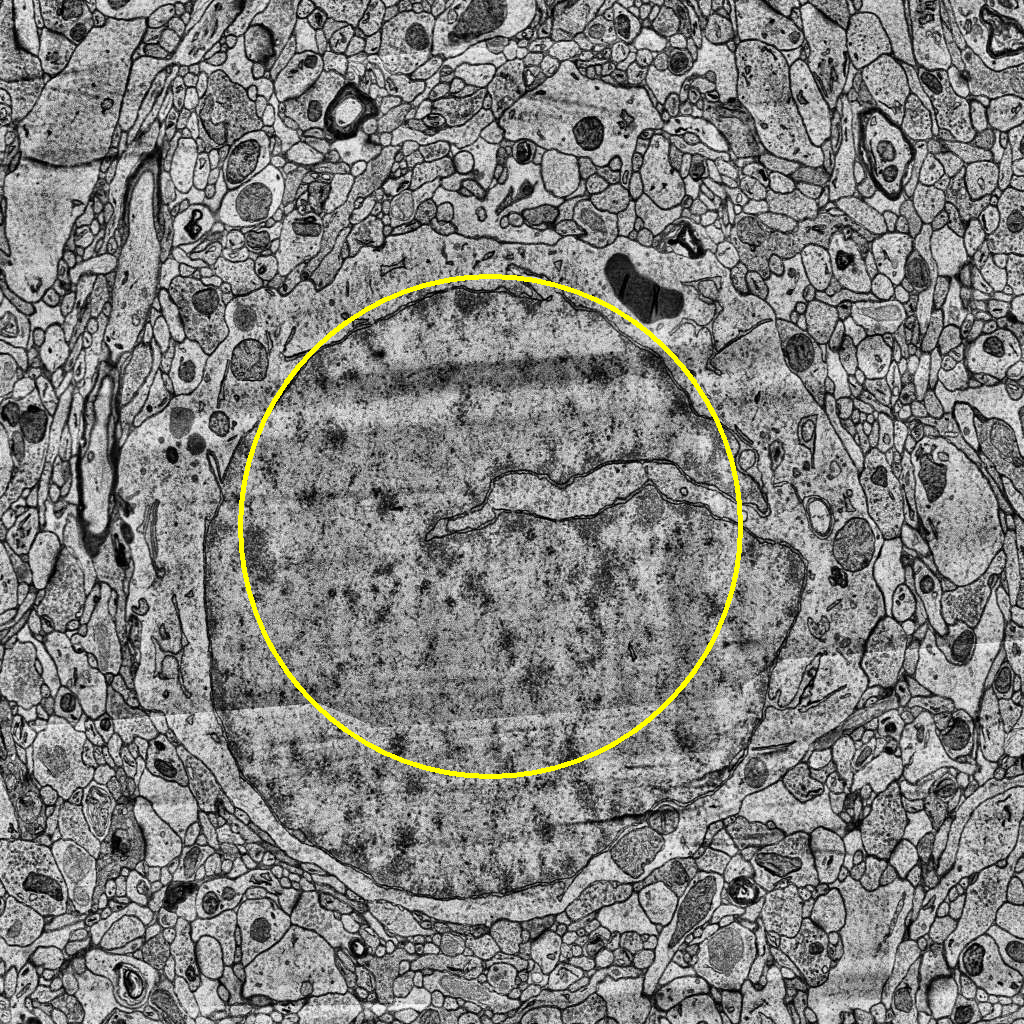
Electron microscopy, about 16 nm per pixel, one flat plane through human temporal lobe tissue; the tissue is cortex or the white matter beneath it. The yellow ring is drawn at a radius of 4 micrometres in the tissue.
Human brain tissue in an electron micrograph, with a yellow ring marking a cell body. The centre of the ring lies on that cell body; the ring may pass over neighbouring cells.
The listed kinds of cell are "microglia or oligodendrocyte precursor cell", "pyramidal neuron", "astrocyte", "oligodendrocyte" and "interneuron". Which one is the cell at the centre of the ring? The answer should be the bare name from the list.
interneuron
